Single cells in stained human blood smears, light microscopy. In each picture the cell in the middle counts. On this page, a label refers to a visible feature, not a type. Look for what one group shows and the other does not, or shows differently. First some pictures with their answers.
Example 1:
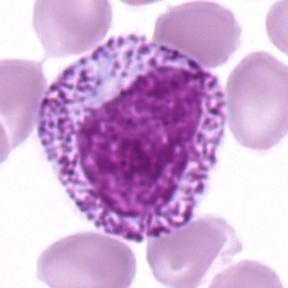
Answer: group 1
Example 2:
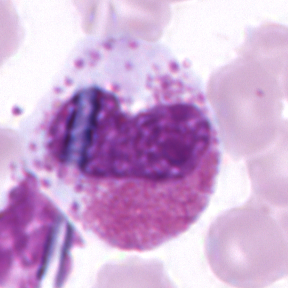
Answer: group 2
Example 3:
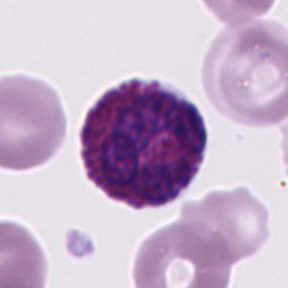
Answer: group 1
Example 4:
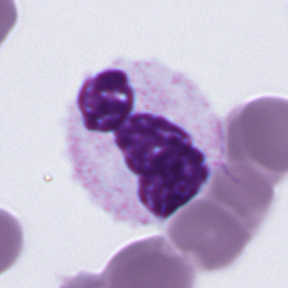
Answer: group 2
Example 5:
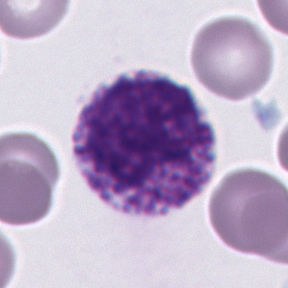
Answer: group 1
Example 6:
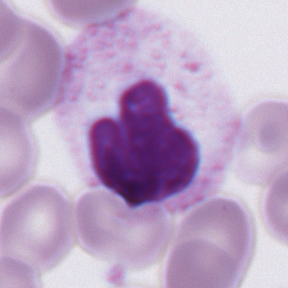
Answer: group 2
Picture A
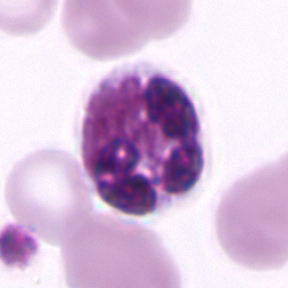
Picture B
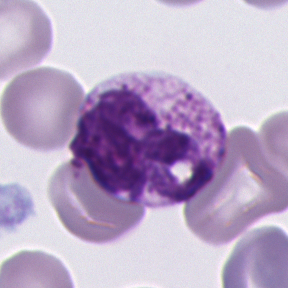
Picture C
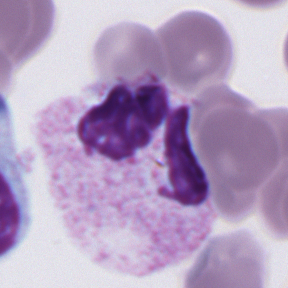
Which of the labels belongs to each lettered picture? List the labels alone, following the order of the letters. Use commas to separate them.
group 2, group 2, group 1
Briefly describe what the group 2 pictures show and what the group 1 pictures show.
group 2, fine or small granules; group 1, coarse or large granules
